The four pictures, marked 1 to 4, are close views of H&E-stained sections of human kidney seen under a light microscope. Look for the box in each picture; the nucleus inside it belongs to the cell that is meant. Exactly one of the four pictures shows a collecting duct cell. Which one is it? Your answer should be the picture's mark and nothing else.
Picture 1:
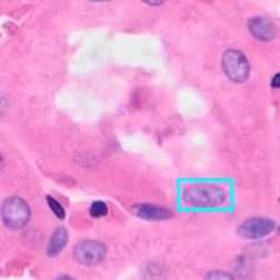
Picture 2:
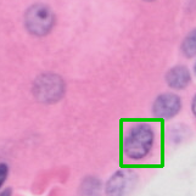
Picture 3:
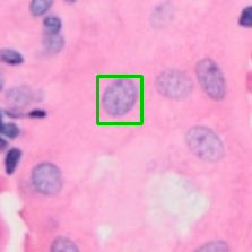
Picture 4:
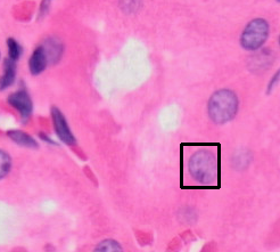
2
